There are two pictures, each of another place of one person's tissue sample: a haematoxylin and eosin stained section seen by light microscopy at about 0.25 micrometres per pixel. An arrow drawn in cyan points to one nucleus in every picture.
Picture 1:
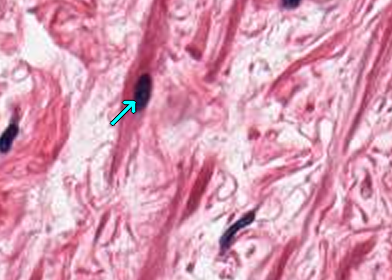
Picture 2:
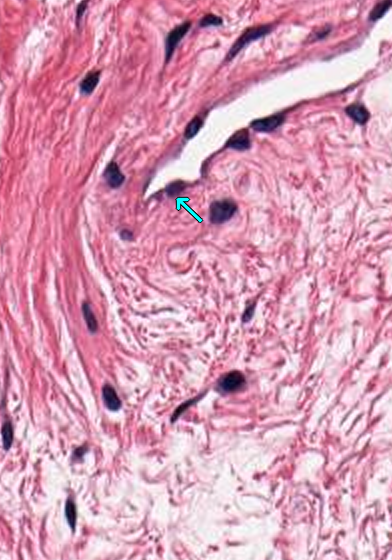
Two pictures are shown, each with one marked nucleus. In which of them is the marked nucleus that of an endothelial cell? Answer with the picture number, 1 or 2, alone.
2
